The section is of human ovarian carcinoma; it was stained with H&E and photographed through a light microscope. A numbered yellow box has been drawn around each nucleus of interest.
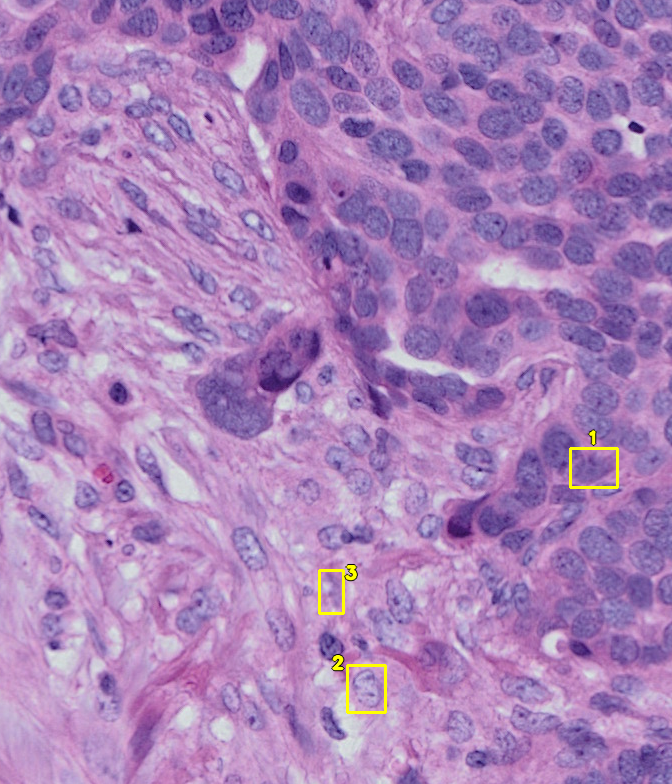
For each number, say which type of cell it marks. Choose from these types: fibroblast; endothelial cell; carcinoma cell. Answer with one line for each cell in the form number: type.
1: carcinoma cell
2: fibroblast
3: fibroblast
